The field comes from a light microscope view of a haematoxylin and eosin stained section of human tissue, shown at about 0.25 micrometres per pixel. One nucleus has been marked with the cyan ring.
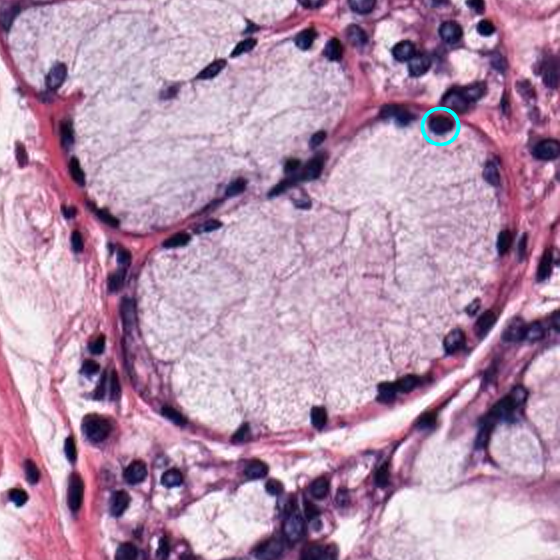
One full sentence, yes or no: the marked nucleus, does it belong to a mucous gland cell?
Yes, the marked nucleus belongs to a mucous gland cell in this image.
